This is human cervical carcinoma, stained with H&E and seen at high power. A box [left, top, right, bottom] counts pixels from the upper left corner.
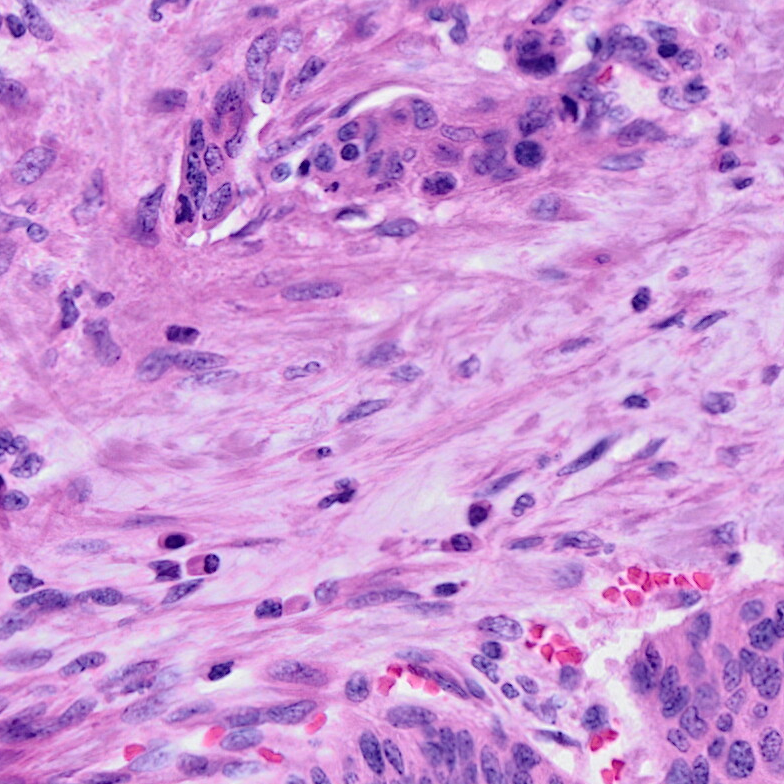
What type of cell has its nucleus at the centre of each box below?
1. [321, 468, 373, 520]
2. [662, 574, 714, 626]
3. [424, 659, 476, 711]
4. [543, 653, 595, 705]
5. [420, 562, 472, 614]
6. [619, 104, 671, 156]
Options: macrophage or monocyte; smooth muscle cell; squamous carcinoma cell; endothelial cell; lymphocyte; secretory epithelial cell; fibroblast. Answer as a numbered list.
1. lymphocyte
2. endothelial cell
3. endothelial cell
4. endothelial cell
5. lymphocyte
6. endothelial cell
